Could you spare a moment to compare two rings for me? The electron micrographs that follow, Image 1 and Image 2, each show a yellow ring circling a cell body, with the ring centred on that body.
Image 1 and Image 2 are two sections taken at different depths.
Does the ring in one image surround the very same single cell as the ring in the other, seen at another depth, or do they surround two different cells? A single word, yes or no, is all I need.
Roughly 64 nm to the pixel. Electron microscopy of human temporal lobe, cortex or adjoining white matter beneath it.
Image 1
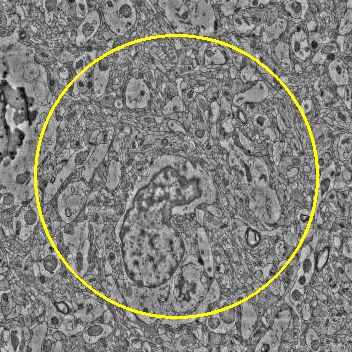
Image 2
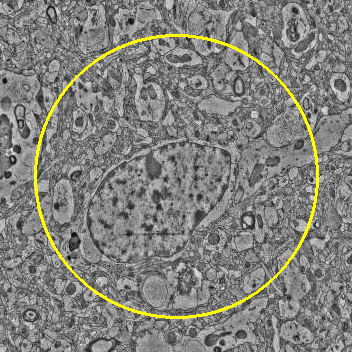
yes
